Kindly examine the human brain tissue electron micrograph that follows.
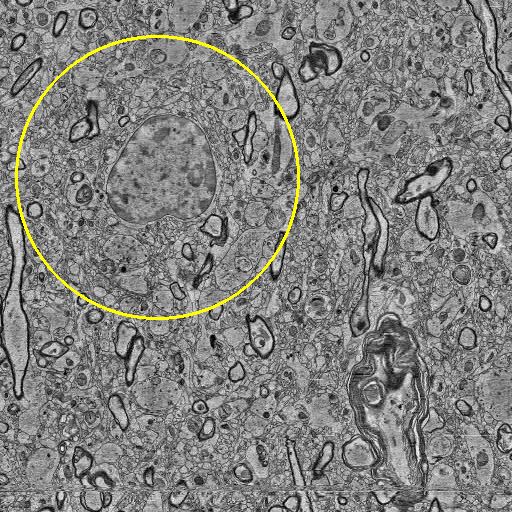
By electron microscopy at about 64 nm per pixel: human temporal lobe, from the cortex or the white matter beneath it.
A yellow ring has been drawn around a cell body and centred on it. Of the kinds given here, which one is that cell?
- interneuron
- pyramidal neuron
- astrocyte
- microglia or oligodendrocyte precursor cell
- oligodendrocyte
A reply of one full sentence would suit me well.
The micrograph's ringed cell, the one at the ring's centre, is a microglial cell or oligodendrocyte precursor cell.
